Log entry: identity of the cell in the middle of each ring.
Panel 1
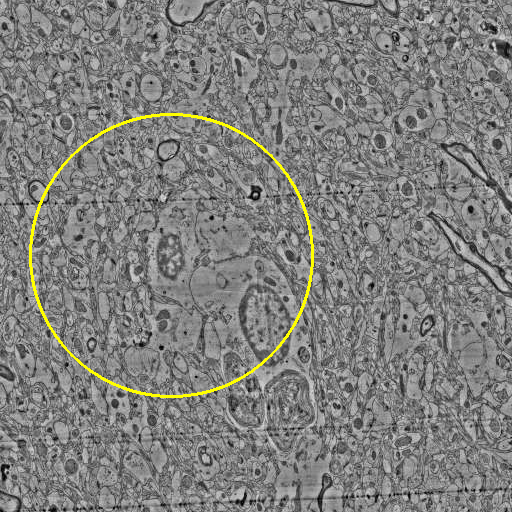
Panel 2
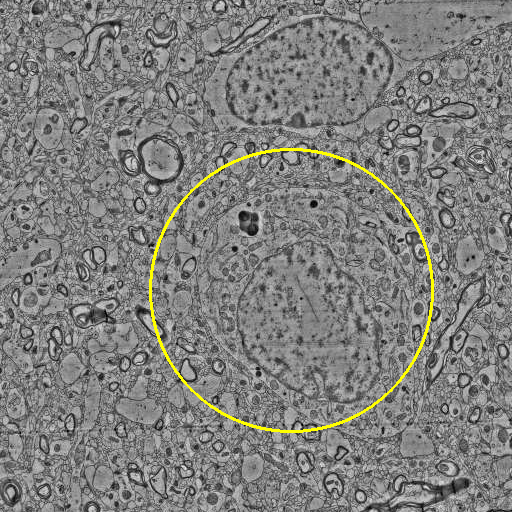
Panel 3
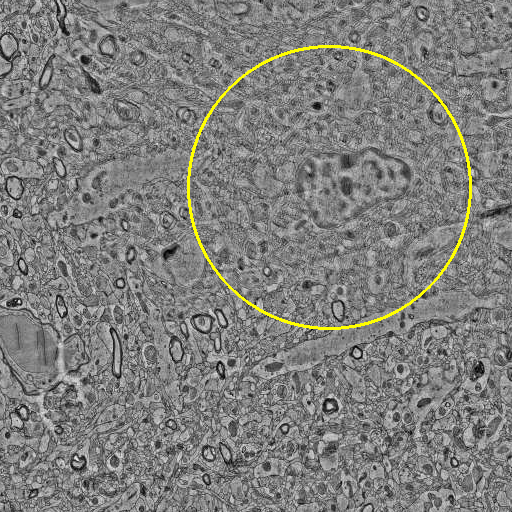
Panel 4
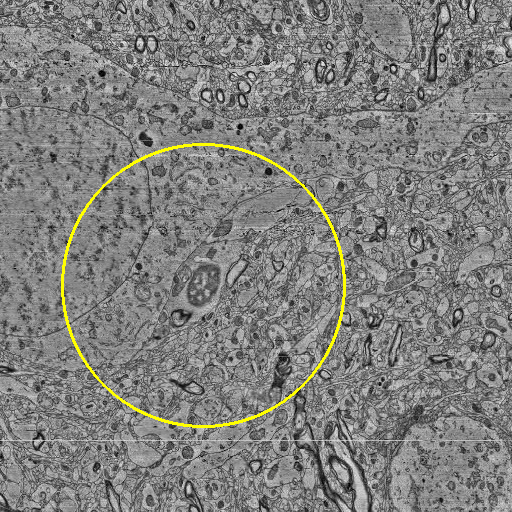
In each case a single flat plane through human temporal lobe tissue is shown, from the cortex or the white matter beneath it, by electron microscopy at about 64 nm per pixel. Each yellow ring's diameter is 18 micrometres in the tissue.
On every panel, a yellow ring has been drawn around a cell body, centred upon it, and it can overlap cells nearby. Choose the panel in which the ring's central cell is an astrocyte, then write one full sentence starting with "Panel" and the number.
Panel 1 shows the requested cell sitting in the middle of its ring.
